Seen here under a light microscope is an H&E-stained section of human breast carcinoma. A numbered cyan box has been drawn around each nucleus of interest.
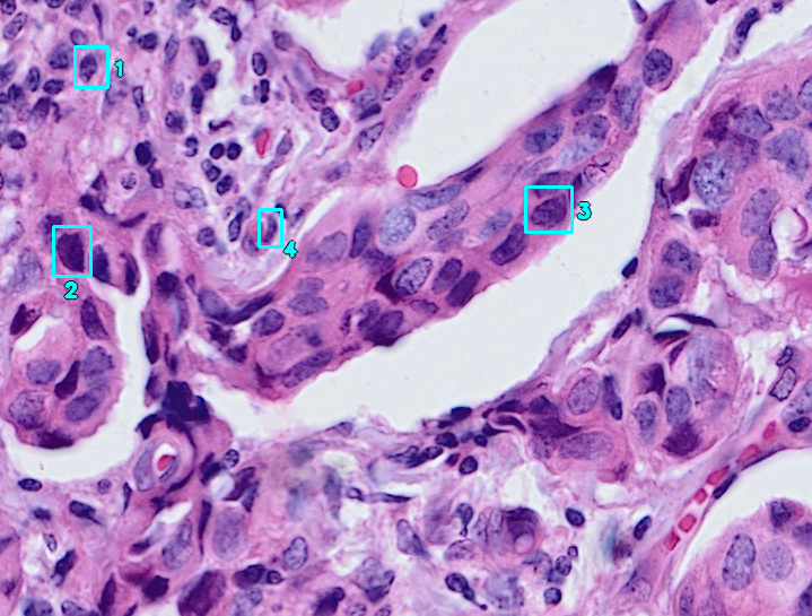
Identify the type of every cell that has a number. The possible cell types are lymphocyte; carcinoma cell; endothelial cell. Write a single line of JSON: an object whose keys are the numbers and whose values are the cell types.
{"1": "lymphocyte", "2": "carcinoma cell", "3": "carcinoma cell", "4": "endothelial cell"}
